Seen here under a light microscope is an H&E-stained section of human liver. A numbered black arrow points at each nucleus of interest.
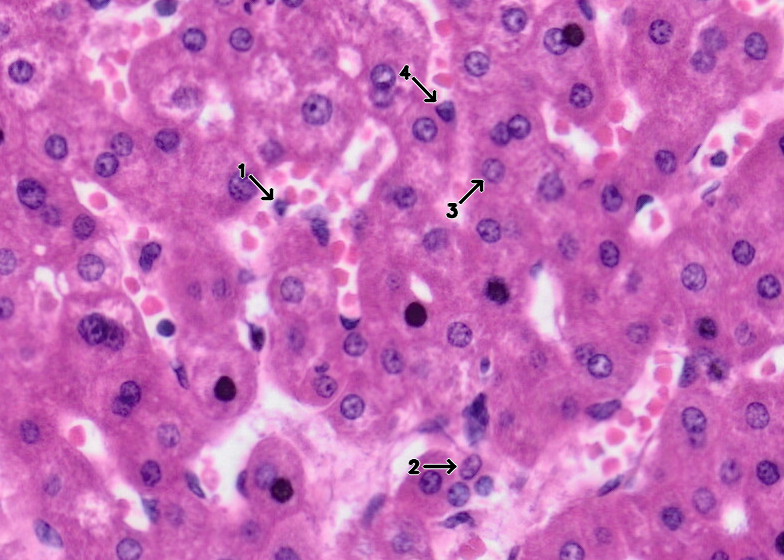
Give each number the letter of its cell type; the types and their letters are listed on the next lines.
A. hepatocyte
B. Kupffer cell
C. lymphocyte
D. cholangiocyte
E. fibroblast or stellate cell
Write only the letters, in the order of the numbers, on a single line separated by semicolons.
C; D; A; E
